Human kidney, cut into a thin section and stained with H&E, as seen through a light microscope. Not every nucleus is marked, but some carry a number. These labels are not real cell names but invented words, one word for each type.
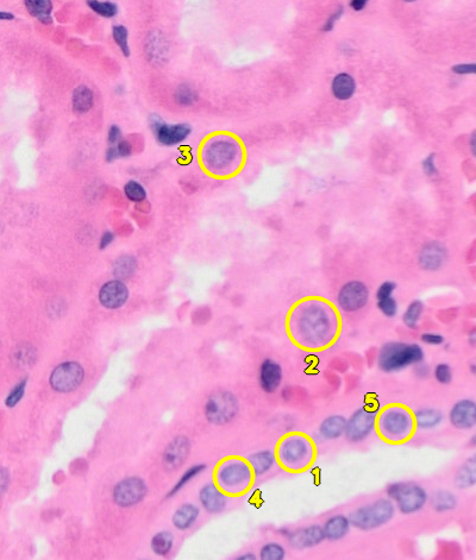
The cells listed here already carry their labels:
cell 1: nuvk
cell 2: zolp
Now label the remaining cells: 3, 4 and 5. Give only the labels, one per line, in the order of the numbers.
zolp
nuvk
nuvk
